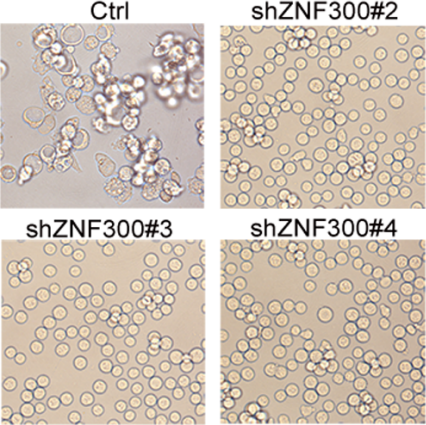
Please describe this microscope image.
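Four unstained light micrographs of cultured cells in suspension. In the upper left image the cells are large and unequal in size. Many are gathered into clumps, and some are flattened or elongated, with irregular outlines. Their cytoplasm looks granular or vacuolated. In the other three images the cells are small, round and much alike in size. No stain is used, and no inner detail such as nuclei can be clearly made out.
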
